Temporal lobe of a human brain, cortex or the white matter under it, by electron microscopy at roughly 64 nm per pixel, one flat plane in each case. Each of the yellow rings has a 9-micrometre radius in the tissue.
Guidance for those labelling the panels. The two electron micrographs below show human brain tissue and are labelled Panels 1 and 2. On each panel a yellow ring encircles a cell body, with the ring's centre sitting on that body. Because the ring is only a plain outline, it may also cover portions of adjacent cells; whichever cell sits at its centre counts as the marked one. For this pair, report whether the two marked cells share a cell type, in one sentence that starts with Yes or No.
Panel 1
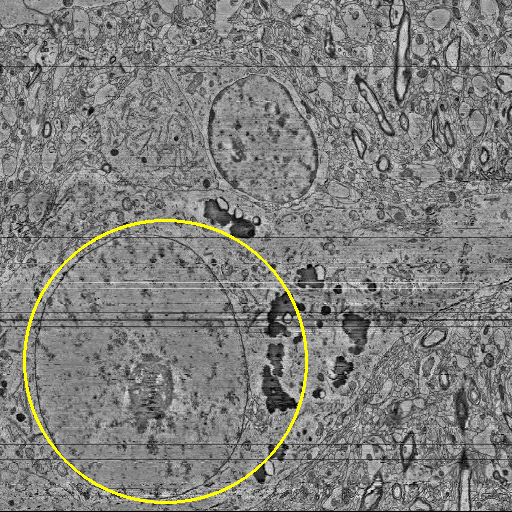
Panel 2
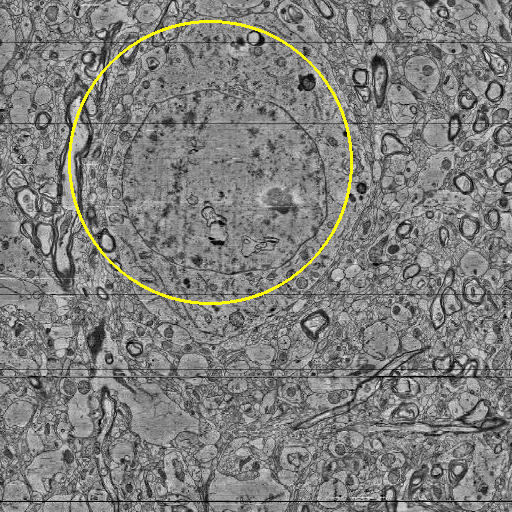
Yes, in Panel 1 and Panel 2 the marked cells at the ring centres share one type.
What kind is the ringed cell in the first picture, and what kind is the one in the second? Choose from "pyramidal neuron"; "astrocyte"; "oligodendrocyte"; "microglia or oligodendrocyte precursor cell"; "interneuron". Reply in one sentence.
The ring centre holds a pyramidal neuron in each of the two pictures.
